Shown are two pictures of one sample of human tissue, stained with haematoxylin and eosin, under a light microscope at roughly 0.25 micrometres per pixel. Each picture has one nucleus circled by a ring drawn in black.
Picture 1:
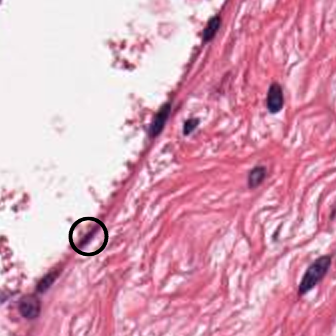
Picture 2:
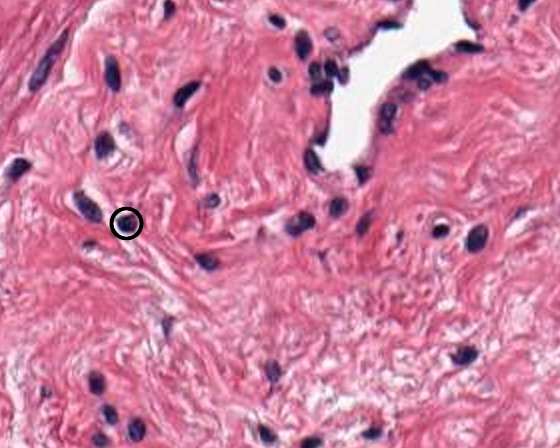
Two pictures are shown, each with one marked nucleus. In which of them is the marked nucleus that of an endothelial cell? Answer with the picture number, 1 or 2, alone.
1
